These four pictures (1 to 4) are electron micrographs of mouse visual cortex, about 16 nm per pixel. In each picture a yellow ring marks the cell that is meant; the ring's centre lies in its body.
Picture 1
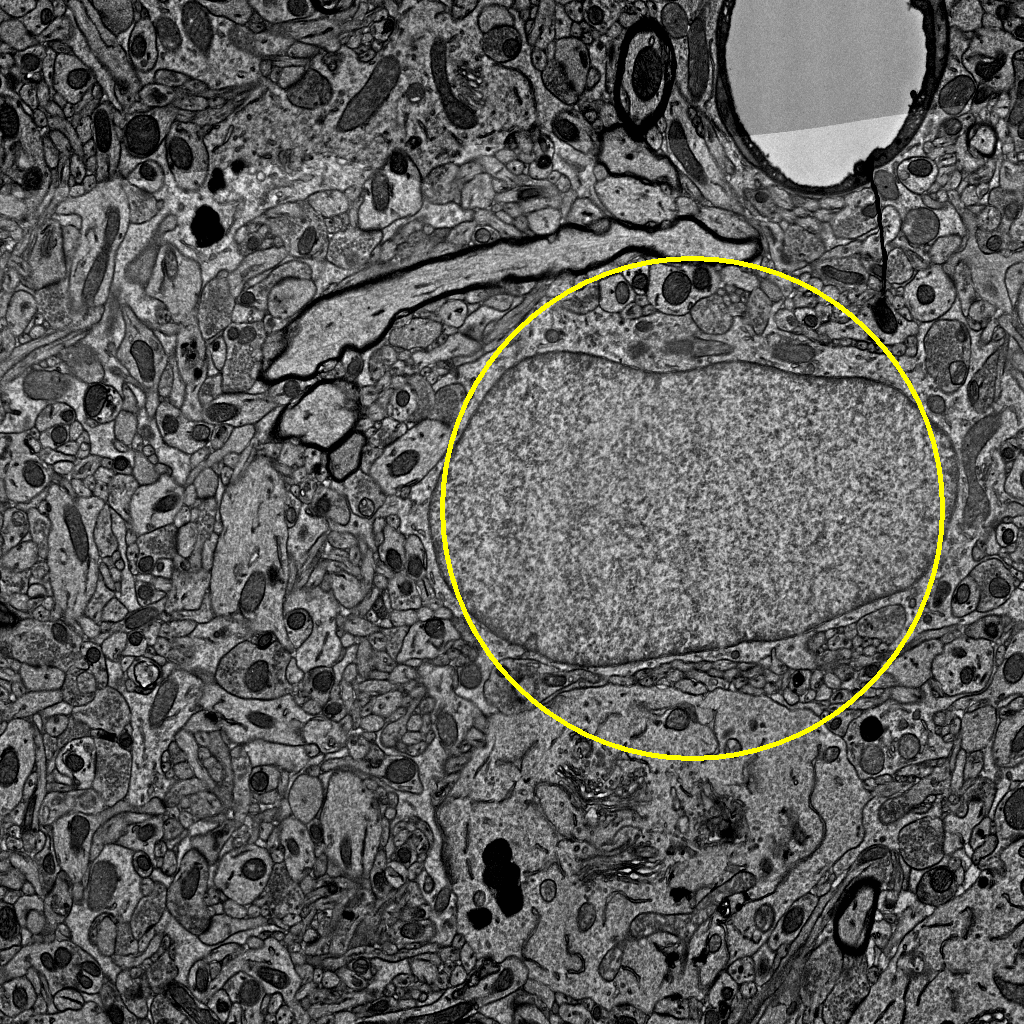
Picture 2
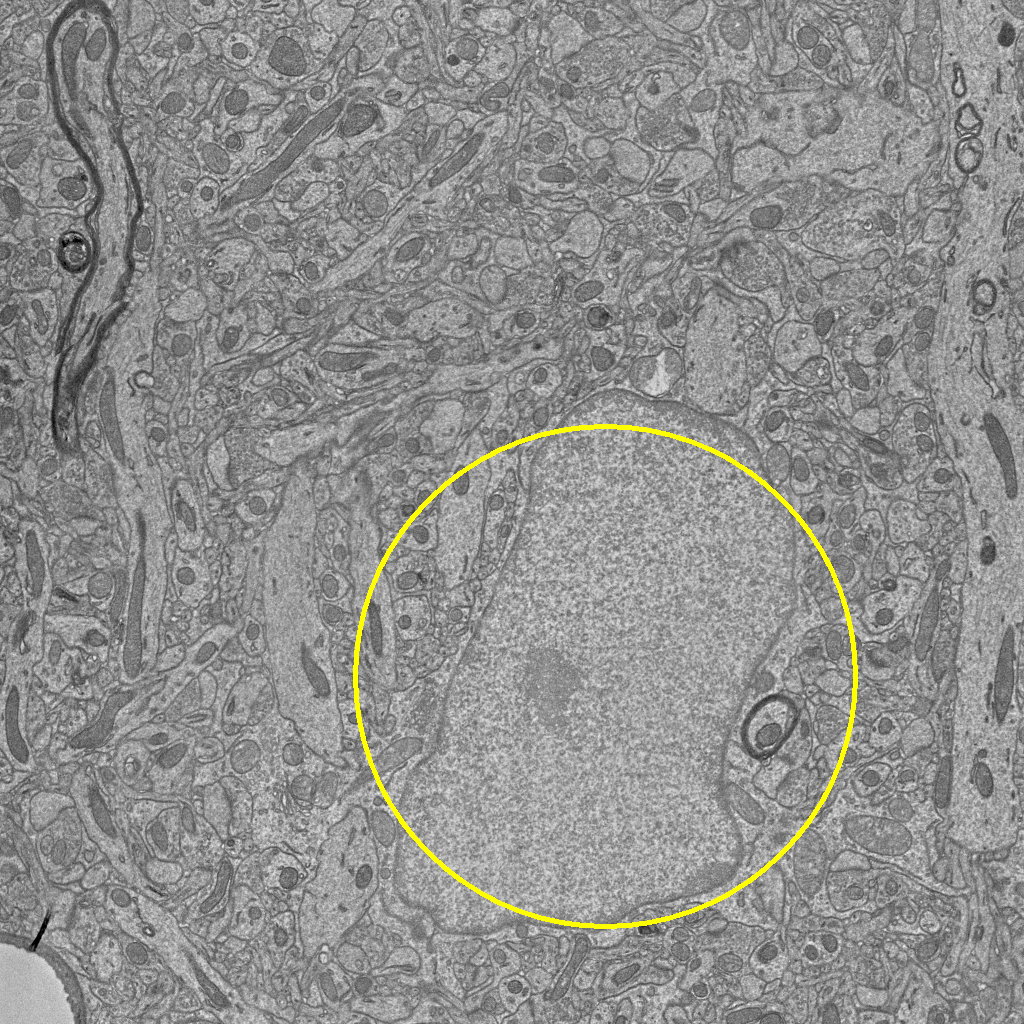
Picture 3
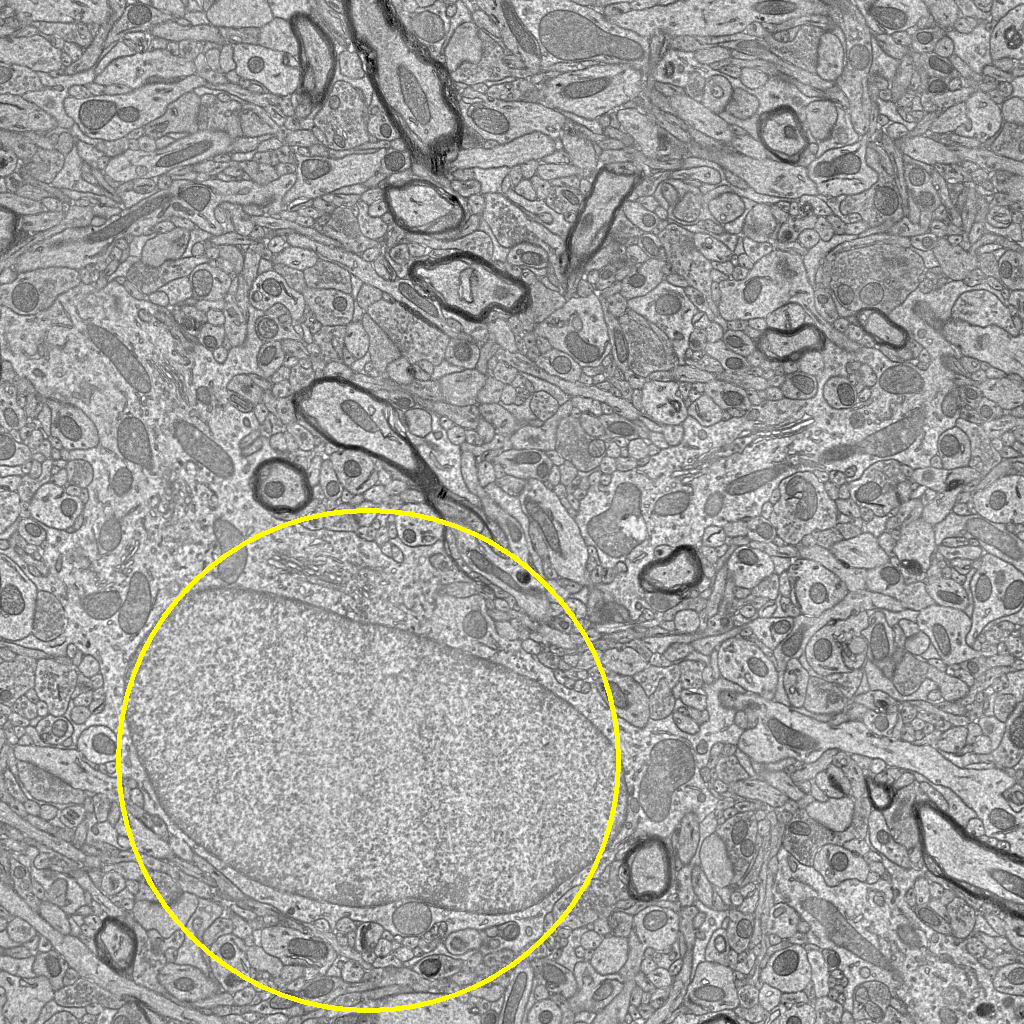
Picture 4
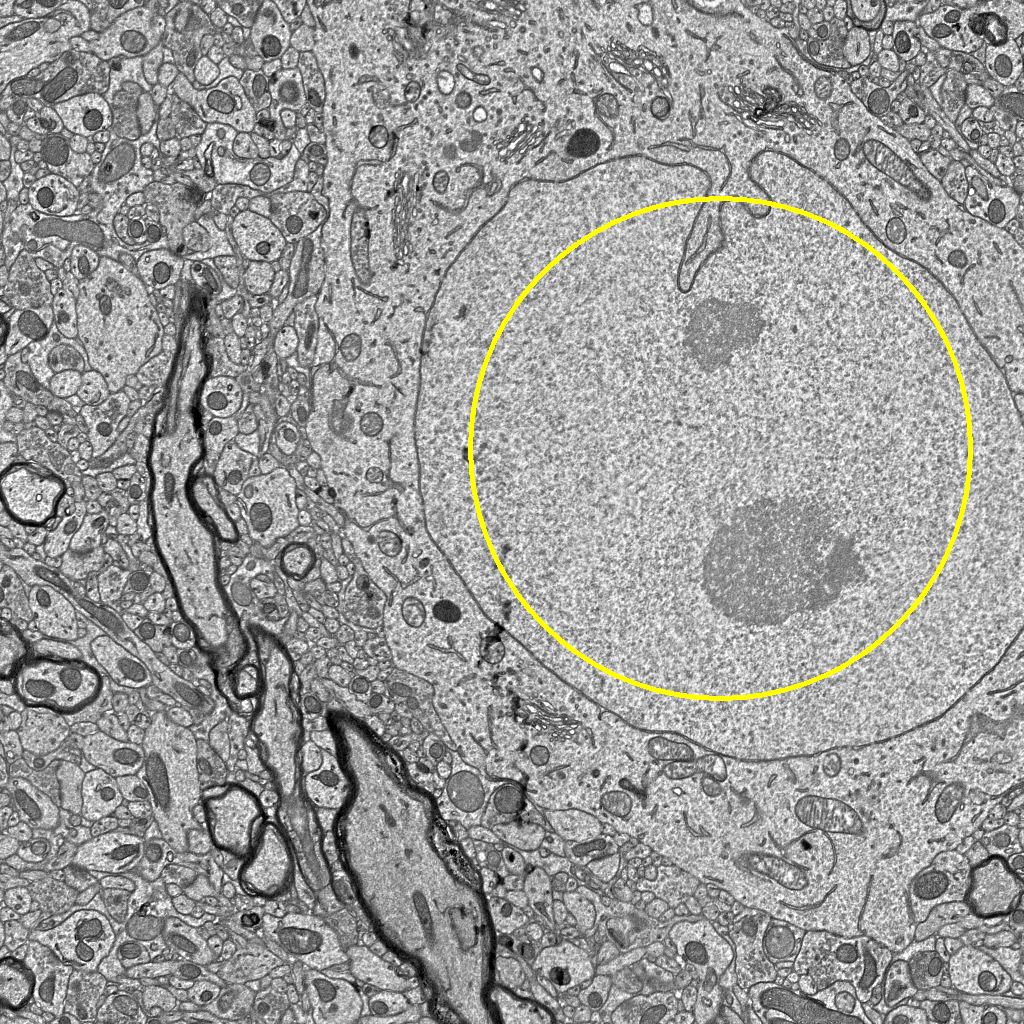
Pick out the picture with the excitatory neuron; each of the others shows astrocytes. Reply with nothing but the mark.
4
